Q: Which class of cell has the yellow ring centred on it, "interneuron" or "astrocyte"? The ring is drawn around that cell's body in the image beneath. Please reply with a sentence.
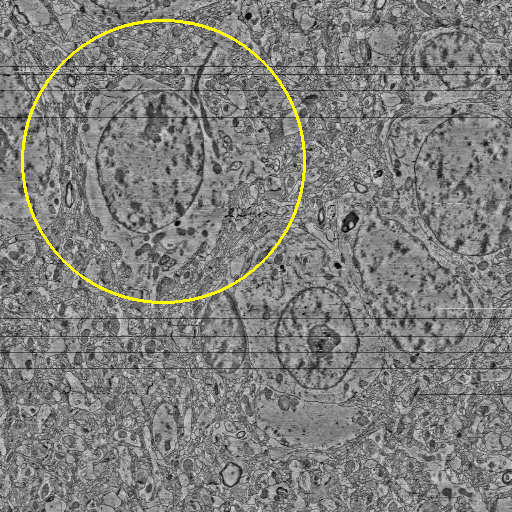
It is centred on an astrocyte.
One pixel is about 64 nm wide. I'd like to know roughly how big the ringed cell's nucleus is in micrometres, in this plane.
In this plane the nucleus measures roughly 10 by 7 micrometres.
